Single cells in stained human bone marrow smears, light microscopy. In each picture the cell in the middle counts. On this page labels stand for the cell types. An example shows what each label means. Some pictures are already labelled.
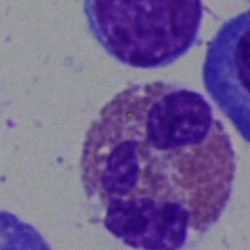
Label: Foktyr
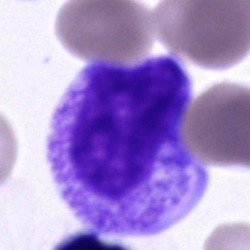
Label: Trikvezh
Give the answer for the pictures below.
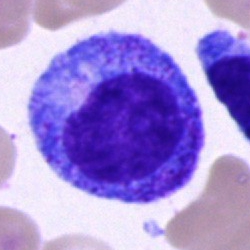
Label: Trikvezh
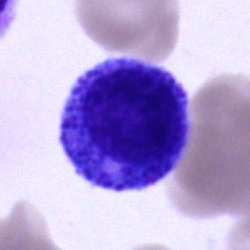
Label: Trikvezh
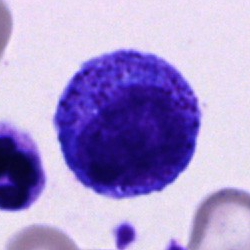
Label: Trikvezh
